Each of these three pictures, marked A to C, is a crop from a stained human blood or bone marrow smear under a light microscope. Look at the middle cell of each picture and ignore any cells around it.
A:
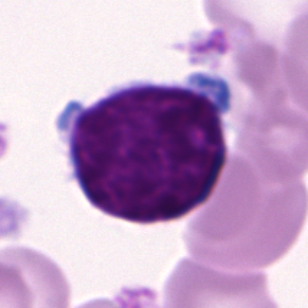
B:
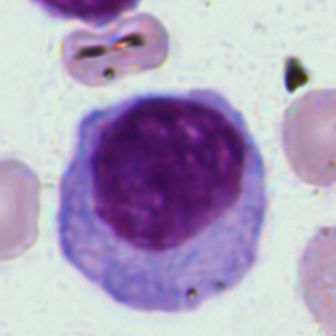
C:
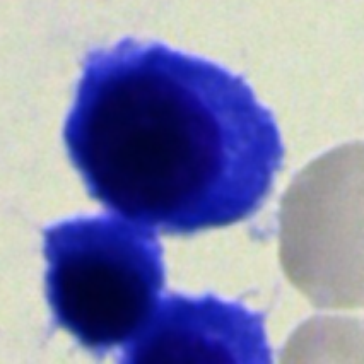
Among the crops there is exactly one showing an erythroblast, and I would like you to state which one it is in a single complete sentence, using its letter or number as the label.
Identified crop: C, the one that shows an erythroblast.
